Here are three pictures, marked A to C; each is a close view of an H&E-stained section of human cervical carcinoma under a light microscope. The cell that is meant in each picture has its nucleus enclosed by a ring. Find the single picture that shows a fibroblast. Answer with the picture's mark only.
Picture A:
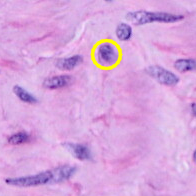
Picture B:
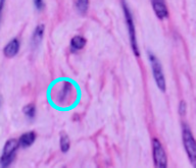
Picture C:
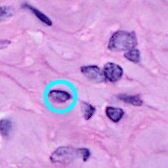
C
